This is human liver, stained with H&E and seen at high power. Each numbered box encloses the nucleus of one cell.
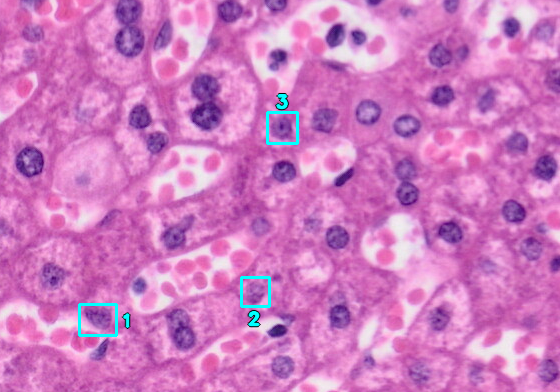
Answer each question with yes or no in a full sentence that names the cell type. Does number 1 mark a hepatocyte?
No, the cell marked 1 is an endothelial cell rather than a hepatocyte.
